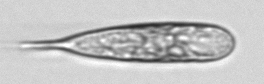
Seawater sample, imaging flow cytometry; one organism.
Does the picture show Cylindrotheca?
No, it shows Licmophora.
